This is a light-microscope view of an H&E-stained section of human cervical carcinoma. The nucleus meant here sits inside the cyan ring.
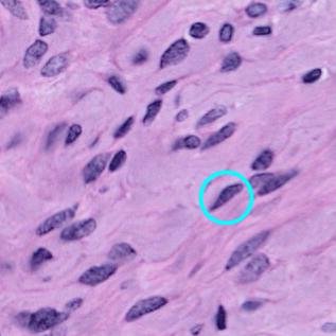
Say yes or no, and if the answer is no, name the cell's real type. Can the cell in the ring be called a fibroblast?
Yes.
